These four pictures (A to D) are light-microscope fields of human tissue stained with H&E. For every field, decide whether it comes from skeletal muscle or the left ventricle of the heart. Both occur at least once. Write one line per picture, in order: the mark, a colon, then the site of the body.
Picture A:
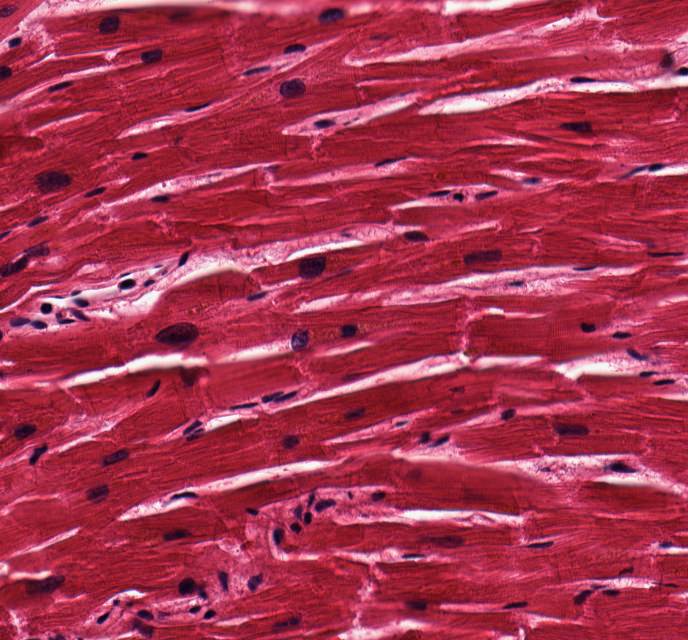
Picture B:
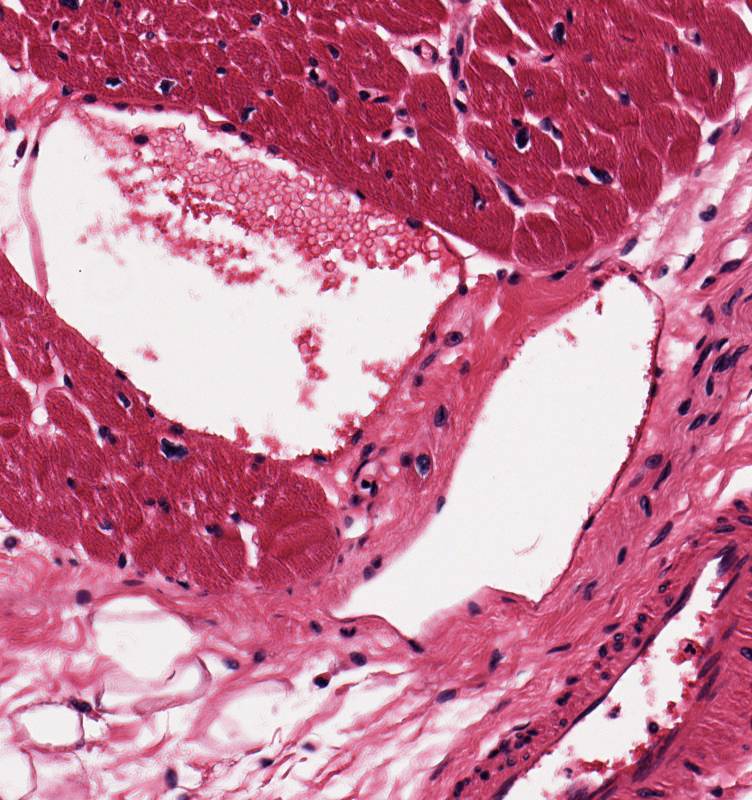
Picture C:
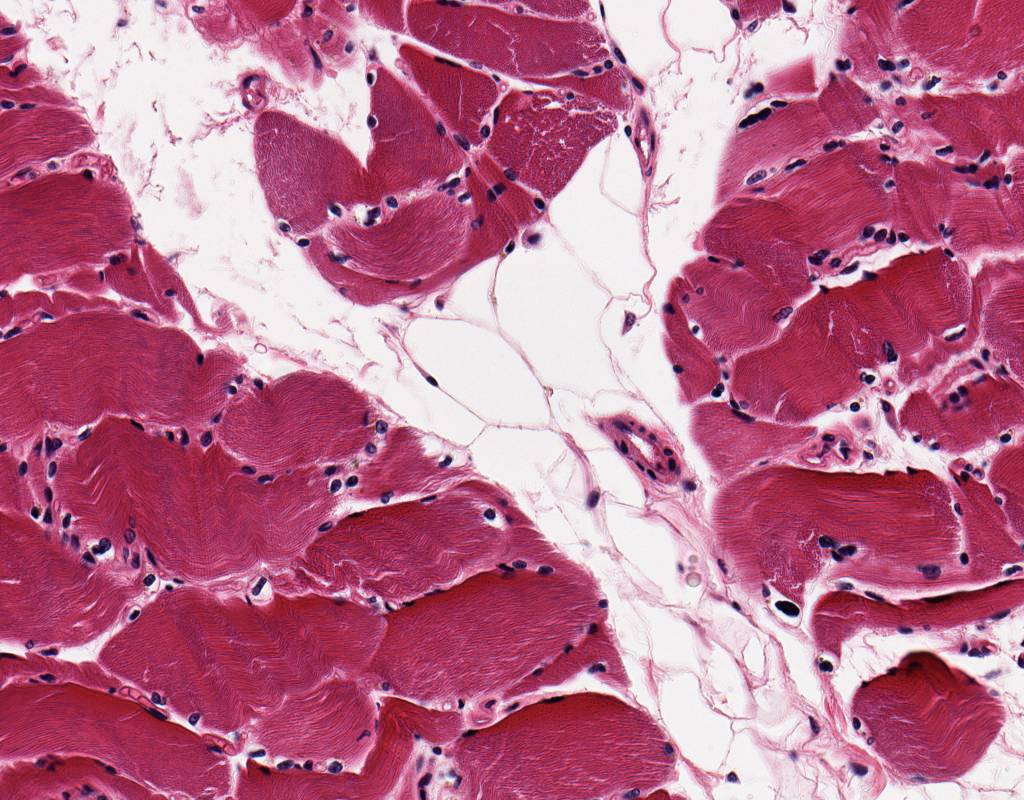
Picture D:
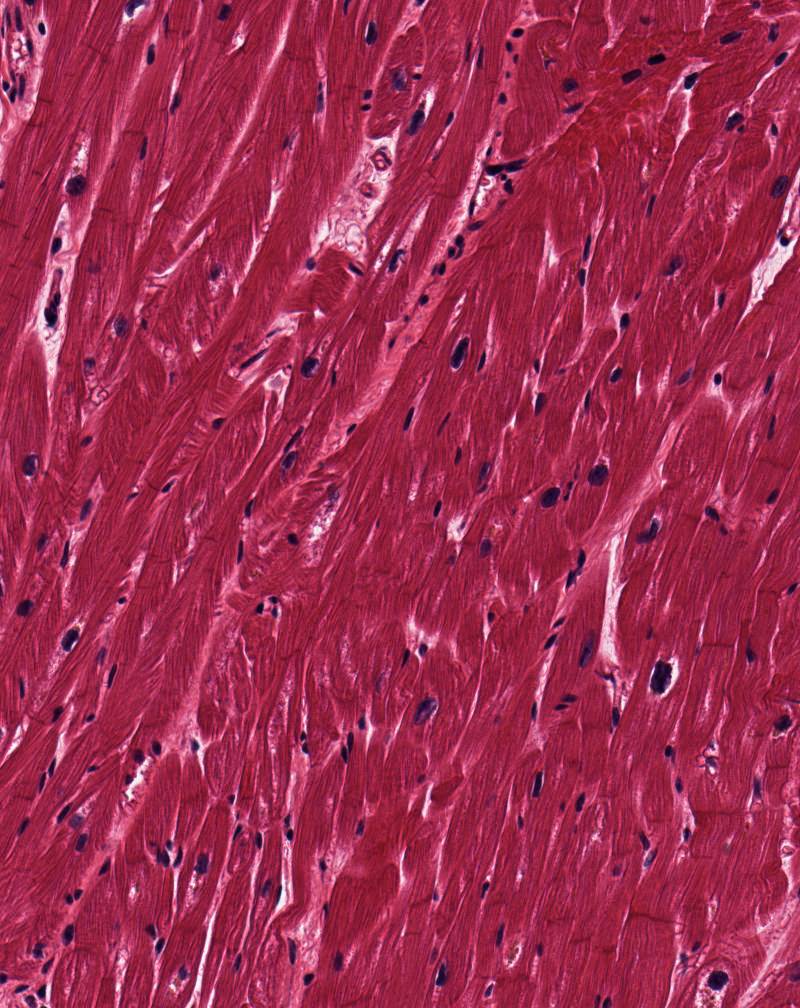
A: left ventricle of the heart
B: left ventricle of the heart
C: skeletal muscle
D: left ventricle of the heart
